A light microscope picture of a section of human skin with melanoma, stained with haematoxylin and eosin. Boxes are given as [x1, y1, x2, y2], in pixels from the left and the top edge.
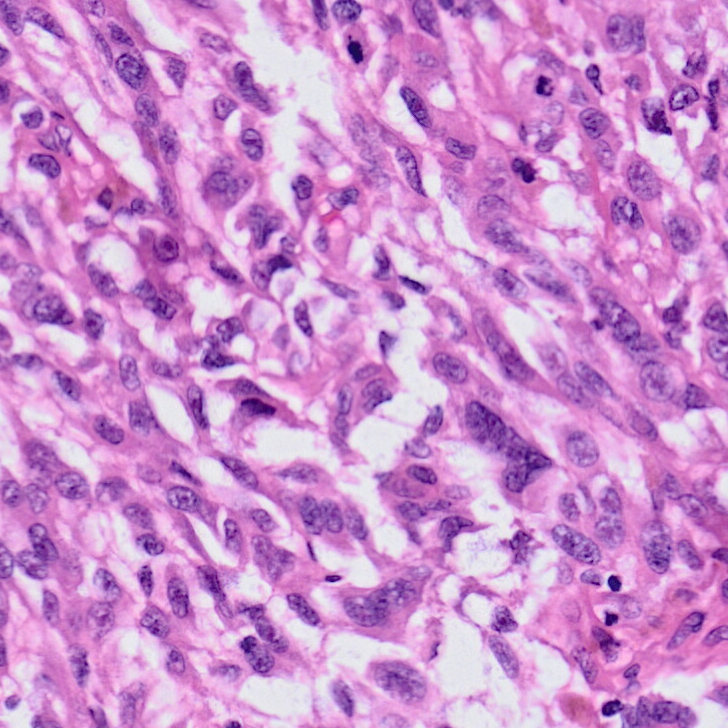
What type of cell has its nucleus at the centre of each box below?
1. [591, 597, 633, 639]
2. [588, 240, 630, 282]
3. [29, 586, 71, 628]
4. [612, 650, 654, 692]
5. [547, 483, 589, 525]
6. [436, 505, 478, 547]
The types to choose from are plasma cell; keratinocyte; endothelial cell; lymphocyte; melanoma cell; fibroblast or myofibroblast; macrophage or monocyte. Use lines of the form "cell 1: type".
cell 1: lymphocyte
cell 2: melanoma cell
cell 3: melanoma cell
cell 4: macrophage or monocyte
cell 5: melanoma cell
cell 6: melanoma cell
